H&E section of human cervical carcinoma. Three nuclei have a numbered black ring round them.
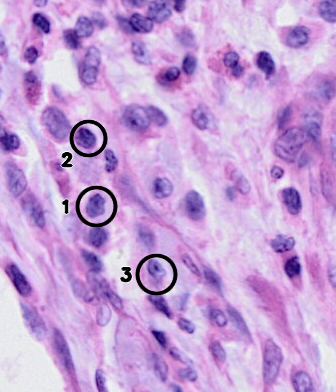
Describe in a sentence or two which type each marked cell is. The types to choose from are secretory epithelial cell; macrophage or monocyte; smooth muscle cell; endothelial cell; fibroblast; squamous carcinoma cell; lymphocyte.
Cell 1 is a lymphocyte, cell 2 is a lymphocyte and cell 3 is a macrophage or monocyte.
